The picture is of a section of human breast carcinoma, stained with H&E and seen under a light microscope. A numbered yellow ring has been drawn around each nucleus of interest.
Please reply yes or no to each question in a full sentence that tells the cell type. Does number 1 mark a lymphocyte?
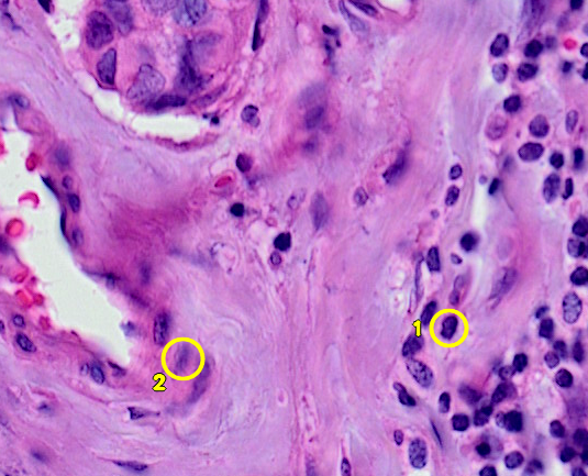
Yes, the cell at the mark numbered 1 is a lymphocyte.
